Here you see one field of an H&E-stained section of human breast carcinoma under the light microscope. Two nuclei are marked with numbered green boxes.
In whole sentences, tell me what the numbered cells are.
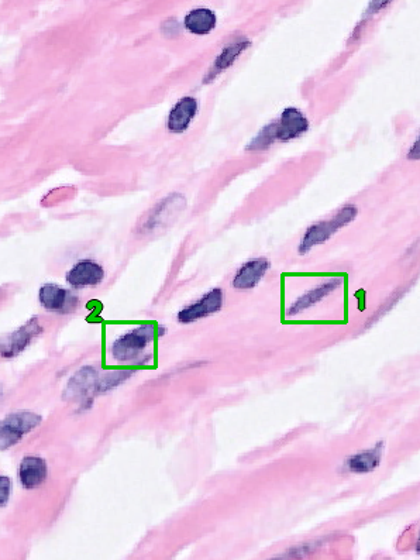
Cell 1 is a fibroblast and cell 2 is a lymphocyte.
